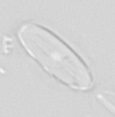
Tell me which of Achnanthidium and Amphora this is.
The picture shows Achnanthidium.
